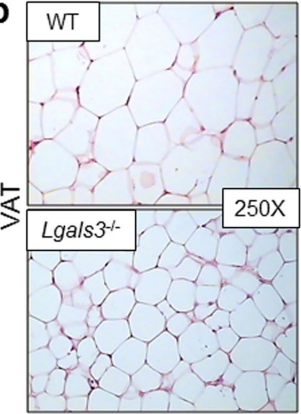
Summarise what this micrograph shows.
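Two fields of white adipose tissue made of closely packed, polygonal unilocular adipocytes, each an empty clear vacuole framed by a thin pink rim of cytoplasm, with occasional small dark nuclei flattened at the cell border. In the upper field the adipocytes are larger and more varied in size. In the lower field they are smaller and more uniform, so more cells fill the same area.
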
